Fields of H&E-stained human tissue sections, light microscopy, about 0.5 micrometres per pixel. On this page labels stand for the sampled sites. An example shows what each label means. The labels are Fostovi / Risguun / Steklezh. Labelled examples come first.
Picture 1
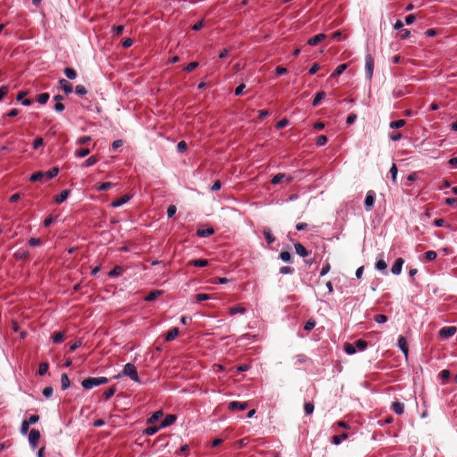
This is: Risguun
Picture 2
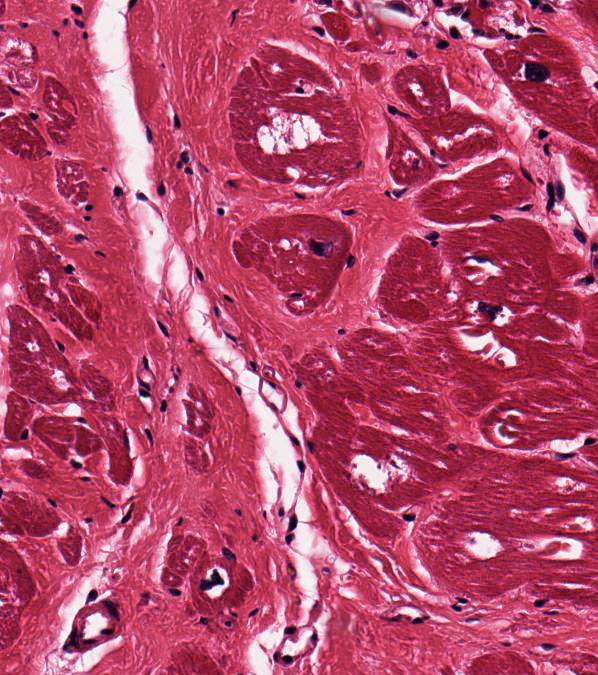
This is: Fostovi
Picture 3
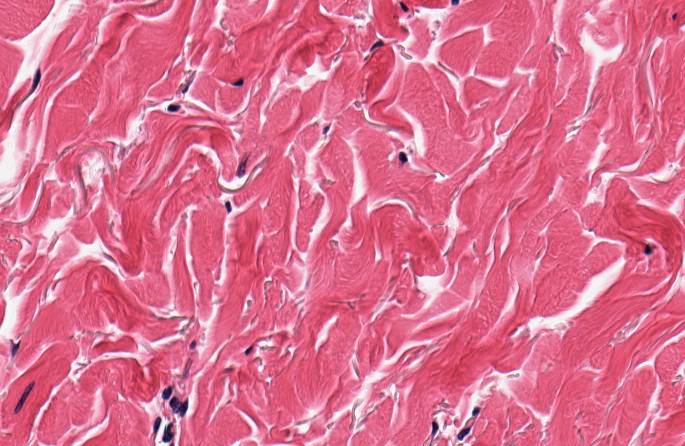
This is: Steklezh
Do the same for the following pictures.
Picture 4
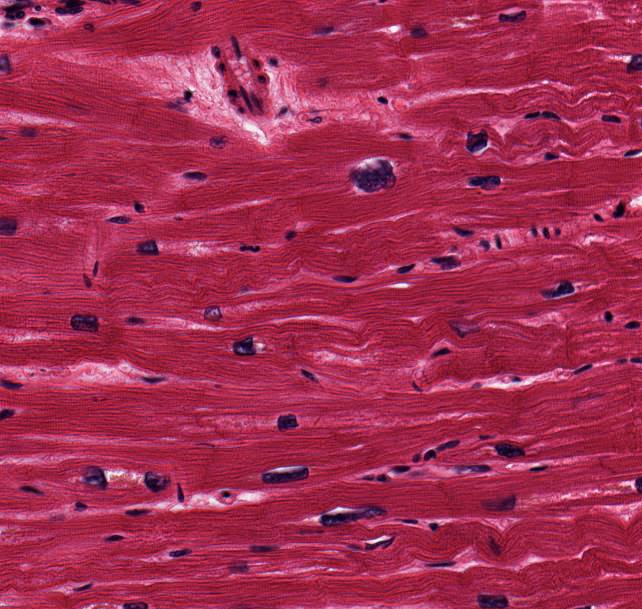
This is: Fostovi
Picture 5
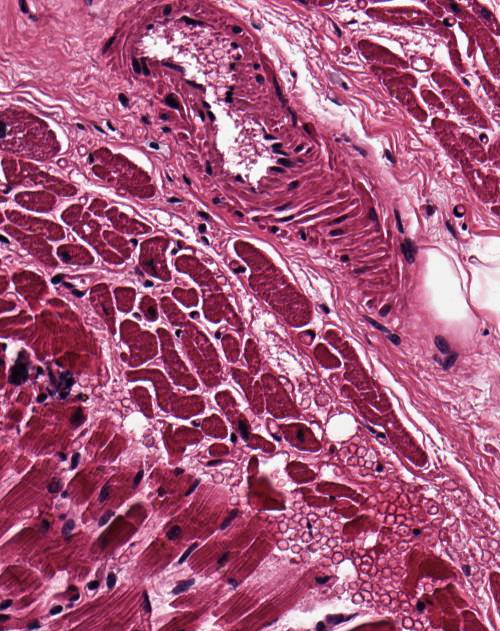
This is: Fostovi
